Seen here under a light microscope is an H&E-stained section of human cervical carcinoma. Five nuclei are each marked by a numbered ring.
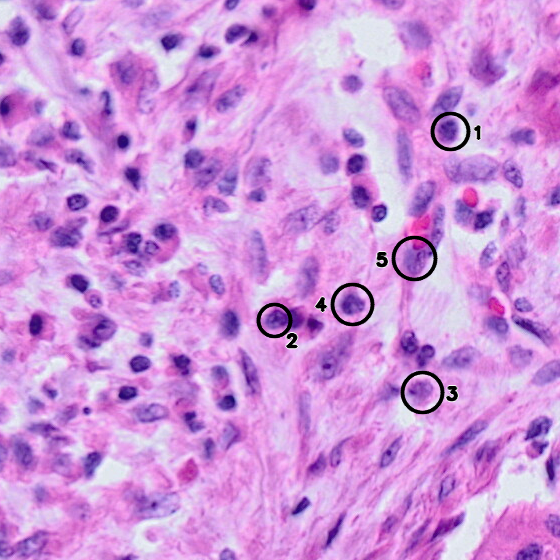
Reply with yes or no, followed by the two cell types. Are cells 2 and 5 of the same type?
No, cell 2 is a lymphocyte and cell 5 is an endothelial cell.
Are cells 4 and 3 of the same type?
No, cell 4 is a lymphocyte and cell 3 is a macrophage or monocyte.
